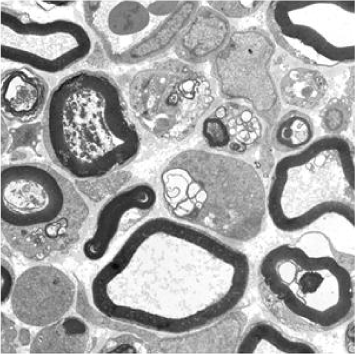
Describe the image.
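This electron micrograph shows a transversely cut peripheral nerve in which the myelinated fibres are breaking down. The myelin sheaths appear as thick, very dark bands, but many are folded, kinked or irregular instead of forming smooth rings. Several sheaths enclose granular debris or vacuole-like spaces rather than an even axon. One large fibre retains a pale, roughly uniform interior inside a dark ring. Between the fibres lie rounded cell profiles with grey, finely granular cytoplasm, some containing vacuoles and dark inclusions, and pale open spaces separate the structures.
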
